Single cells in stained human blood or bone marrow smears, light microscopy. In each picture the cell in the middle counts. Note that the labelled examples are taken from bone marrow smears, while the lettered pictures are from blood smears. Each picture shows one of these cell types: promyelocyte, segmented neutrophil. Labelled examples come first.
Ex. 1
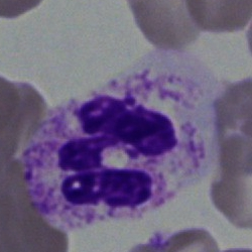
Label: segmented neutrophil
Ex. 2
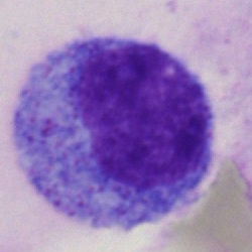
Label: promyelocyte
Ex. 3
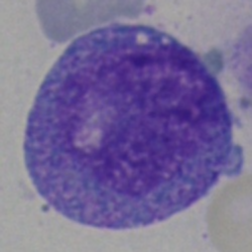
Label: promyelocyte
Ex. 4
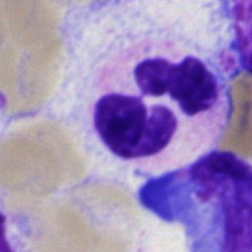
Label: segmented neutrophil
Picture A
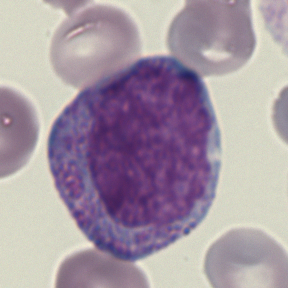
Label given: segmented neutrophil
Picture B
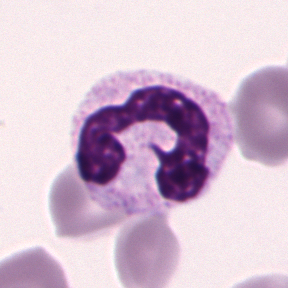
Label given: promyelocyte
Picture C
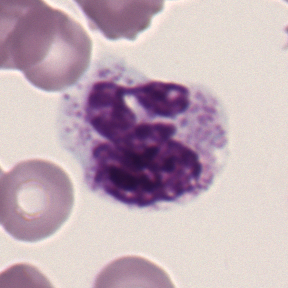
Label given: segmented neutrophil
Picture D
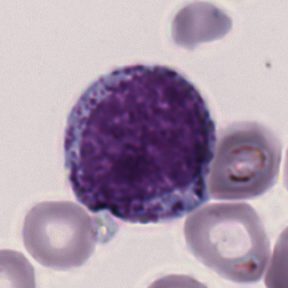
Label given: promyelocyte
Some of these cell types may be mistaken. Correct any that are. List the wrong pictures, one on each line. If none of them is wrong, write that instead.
A: change segmented neutrophil to promyelocyte
B: change promyelocyte to segmented neutrophil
